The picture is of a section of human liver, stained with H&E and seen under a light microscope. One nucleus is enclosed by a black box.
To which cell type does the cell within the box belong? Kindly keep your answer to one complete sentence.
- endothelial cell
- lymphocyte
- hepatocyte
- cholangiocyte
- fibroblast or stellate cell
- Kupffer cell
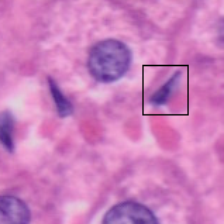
In short, the cell within the box on this section is an endothelial cell.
